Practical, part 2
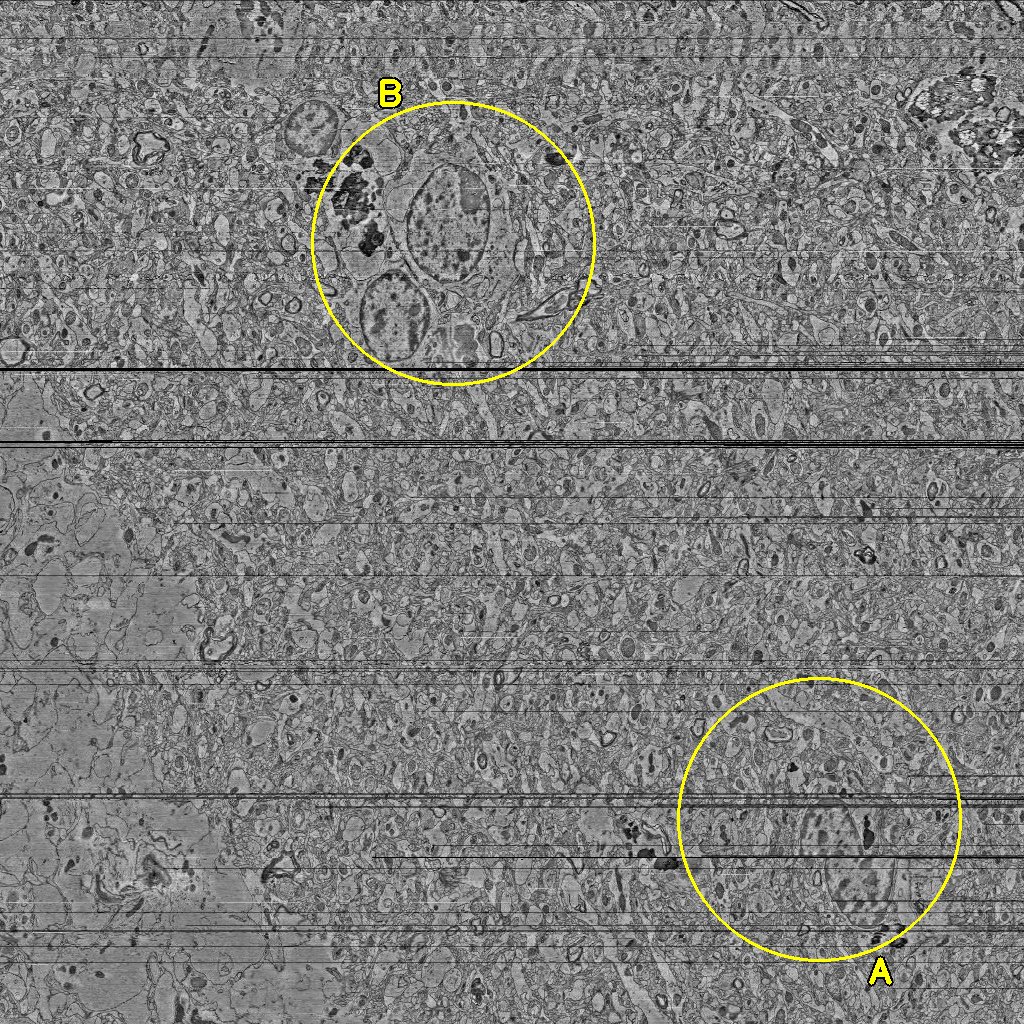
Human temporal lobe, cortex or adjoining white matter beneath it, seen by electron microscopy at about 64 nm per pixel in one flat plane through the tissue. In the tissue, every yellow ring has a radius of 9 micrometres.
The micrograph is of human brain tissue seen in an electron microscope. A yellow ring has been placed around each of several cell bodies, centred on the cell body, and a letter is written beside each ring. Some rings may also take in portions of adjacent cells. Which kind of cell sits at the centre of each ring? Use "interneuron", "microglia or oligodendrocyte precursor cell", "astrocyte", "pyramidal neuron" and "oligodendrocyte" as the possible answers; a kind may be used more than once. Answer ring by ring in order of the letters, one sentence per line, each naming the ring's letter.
Ring A sits on a microglial cell or oligodendrocyte precursor cell.
Ring B sits on an astrocyte.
